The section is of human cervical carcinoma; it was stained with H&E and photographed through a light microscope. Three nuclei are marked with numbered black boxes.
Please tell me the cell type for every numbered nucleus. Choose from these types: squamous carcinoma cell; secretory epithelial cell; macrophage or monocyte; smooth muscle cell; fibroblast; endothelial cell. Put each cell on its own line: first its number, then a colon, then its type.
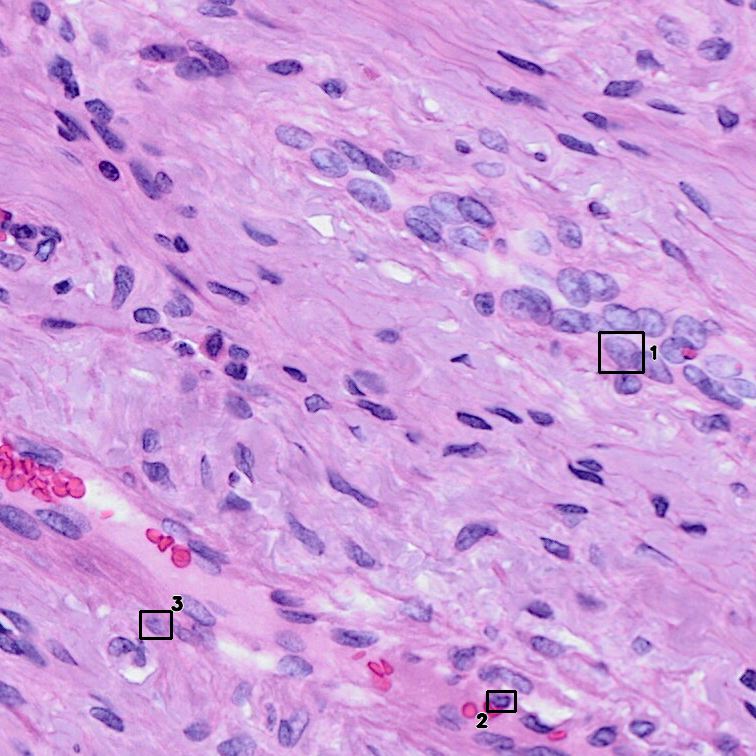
1: endothelial cell
2: endothelial cell
3: smooth muscle cell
